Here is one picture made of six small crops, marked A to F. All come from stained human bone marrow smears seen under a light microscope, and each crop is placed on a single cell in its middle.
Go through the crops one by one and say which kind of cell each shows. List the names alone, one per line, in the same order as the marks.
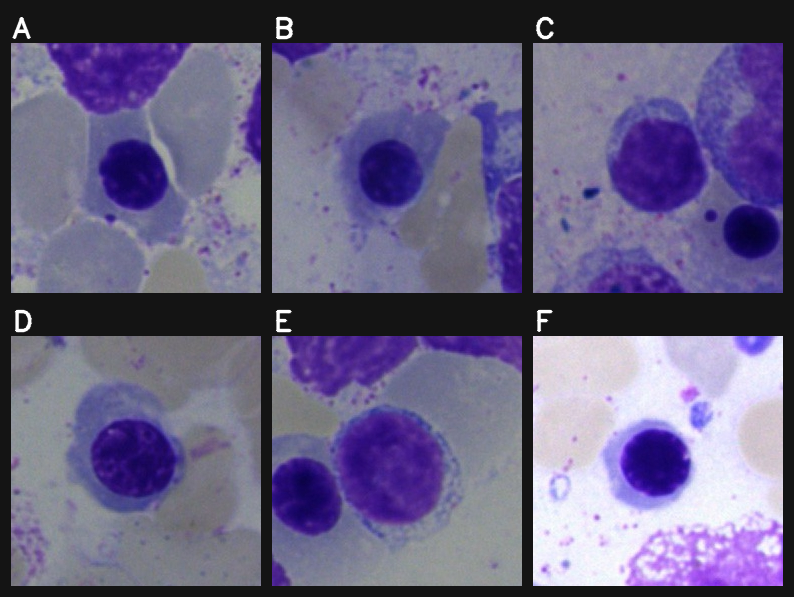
normoblast
normoblast
lymphocyte
normoblast
lymphocyte
normoblast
